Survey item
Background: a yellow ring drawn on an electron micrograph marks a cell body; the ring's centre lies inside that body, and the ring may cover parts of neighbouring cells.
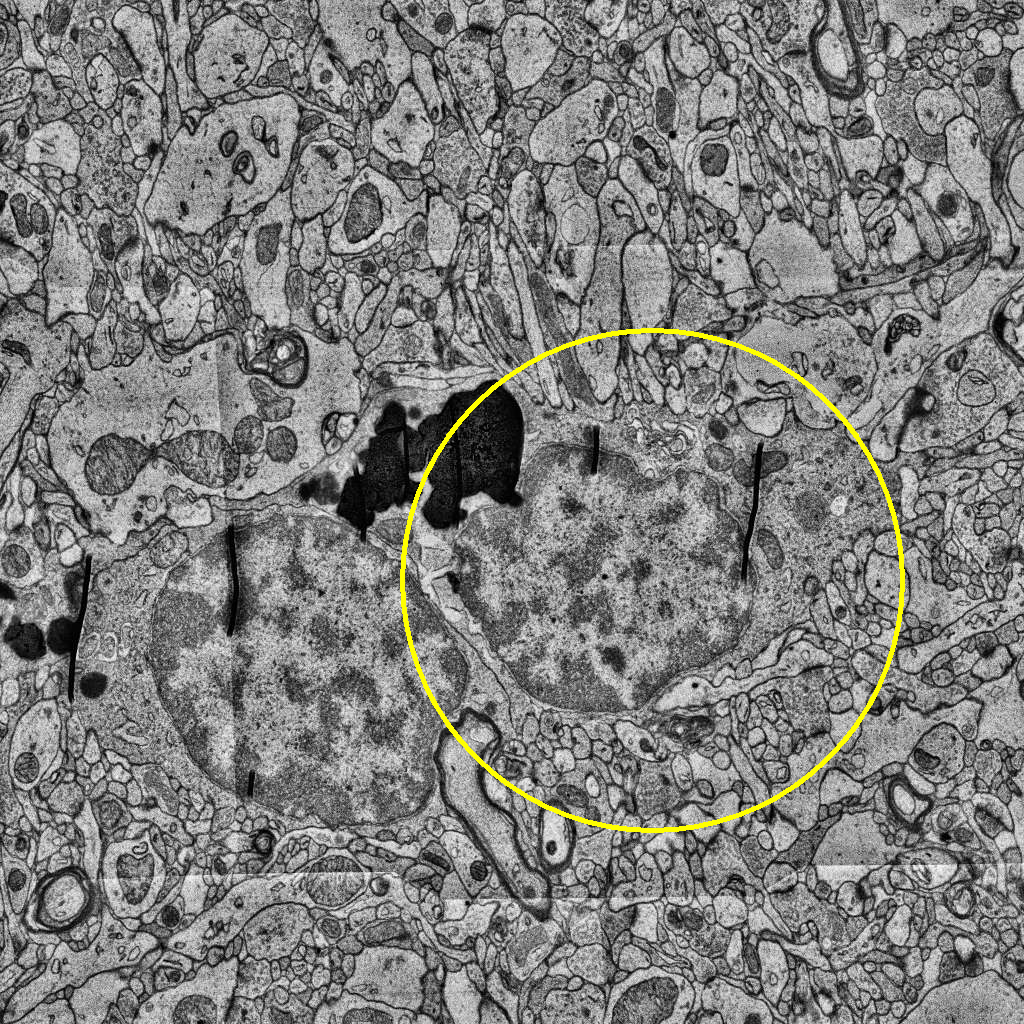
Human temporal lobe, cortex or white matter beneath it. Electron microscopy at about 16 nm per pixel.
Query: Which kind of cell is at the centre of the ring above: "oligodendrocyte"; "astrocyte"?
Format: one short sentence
The cell in the middle of the ring is an oligodendrocyte.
